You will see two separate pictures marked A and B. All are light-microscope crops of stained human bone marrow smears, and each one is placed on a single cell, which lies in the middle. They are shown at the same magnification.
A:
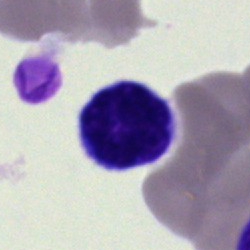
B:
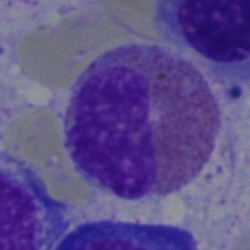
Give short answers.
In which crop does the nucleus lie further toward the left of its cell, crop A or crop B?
B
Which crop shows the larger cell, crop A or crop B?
B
